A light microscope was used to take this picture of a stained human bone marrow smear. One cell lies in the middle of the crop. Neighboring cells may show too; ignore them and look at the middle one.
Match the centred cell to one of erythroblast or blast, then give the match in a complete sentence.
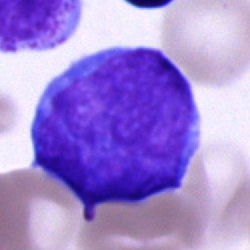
The single cell at the center of the crop is a blast.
